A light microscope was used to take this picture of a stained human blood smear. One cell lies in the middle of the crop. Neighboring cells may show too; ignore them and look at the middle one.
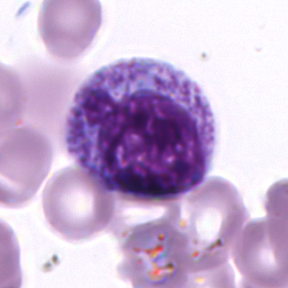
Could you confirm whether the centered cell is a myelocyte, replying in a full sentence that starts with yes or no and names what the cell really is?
Yes, that is right: the middle cell is a myelocyte.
